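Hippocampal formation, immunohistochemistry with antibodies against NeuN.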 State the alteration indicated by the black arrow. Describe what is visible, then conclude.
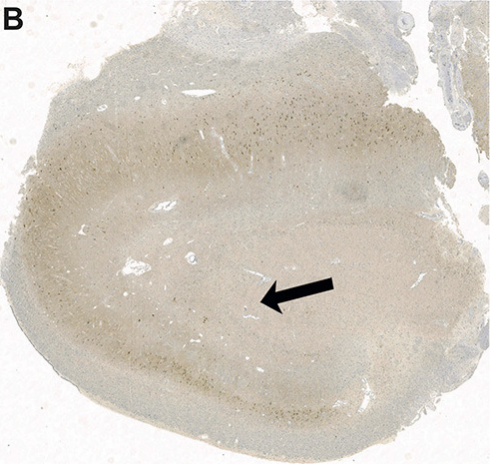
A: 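Subtotal neuronal loss in the hilus. The region enclosed by the curved cell band, where the arrow points, holds almost no brown-stained neurons.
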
